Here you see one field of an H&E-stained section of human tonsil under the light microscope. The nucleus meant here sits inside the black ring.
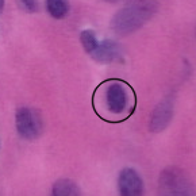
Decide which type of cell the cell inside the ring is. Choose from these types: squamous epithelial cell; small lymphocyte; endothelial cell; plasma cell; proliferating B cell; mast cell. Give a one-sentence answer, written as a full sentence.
At the level of cell identity, the cell inside the ring is a mast cell.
